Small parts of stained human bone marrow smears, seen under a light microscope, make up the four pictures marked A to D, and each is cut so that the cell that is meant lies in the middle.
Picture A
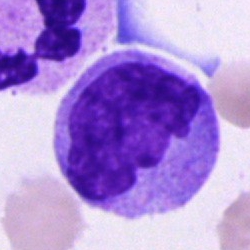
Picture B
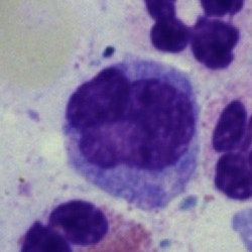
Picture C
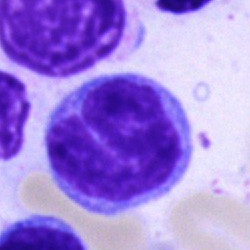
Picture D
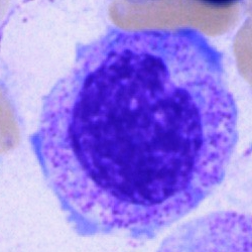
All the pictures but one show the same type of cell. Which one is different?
D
